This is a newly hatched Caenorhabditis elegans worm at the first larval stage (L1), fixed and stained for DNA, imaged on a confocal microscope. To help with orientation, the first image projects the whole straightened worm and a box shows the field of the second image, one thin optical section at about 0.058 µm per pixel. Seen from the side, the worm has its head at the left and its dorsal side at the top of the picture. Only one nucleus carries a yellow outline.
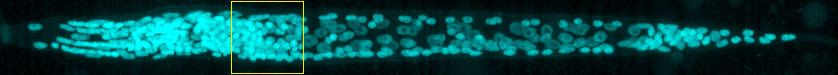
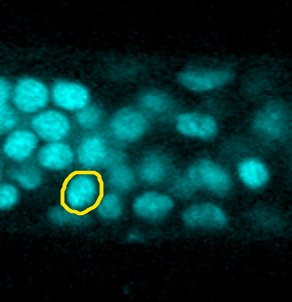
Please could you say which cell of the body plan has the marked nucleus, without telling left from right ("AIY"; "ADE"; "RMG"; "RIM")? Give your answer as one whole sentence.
The marked cell is AIY, a neuron.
